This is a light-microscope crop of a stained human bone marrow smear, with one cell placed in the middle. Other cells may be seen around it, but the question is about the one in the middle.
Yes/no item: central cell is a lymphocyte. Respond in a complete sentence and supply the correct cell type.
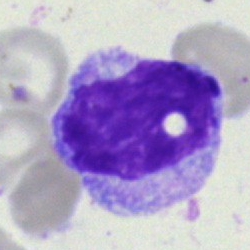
No; rather than a lymphocyte, the cell at the center is a monocyte.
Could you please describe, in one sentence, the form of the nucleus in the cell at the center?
Key feature: a single compact nucleus, round, oval or kidney-shaped.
